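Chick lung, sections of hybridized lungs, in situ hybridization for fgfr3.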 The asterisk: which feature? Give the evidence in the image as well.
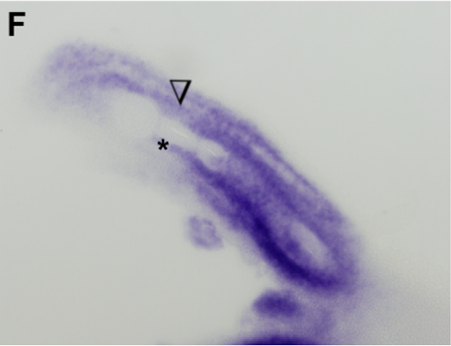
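The asterisk sits by a pale, unstained gap between purple bands. That points to this answer: secondary buds.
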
